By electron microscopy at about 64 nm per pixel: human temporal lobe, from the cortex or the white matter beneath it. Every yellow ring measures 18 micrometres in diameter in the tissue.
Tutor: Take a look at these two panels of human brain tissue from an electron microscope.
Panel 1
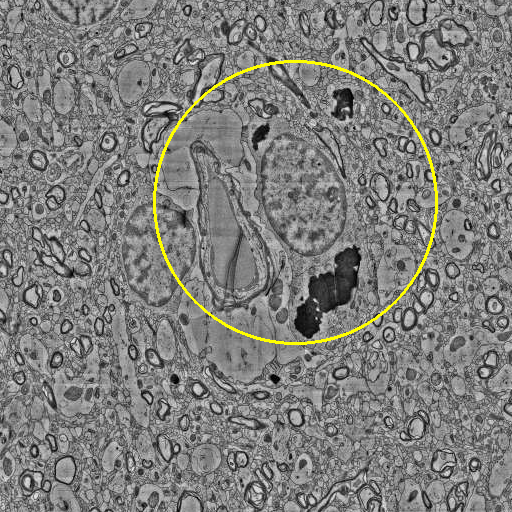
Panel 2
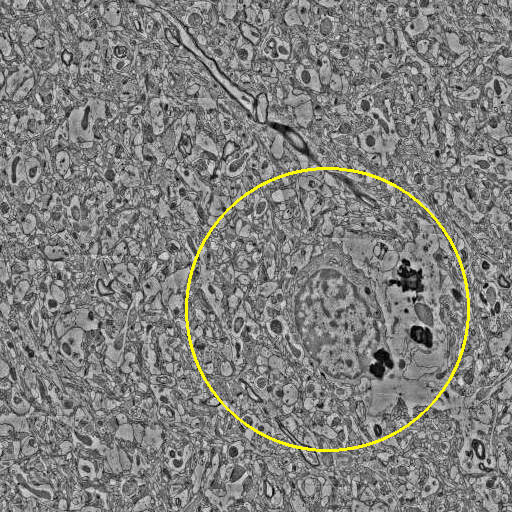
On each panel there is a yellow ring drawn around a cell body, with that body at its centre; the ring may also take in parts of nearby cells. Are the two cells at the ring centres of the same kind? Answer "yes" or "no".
yes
